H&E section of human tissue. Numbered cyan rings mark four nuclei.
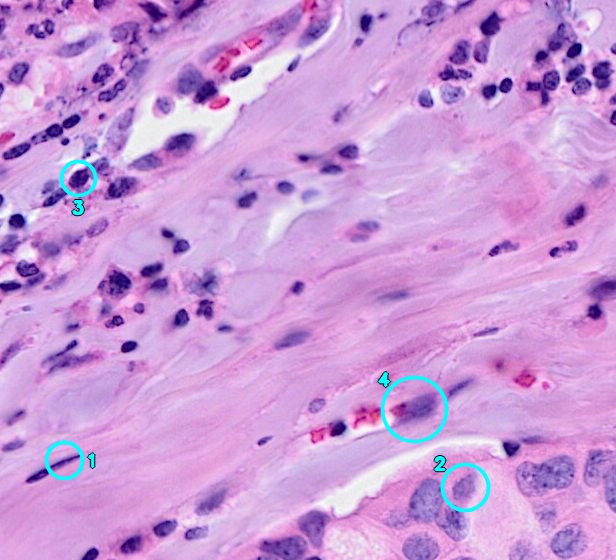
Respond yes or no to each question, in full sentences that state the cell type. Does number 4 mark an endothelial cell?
Yes, the cell that is numbered 4 is an endothelial cell.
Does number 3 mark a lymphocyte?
Yes, it is a lymphocyte that carries the number 3.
